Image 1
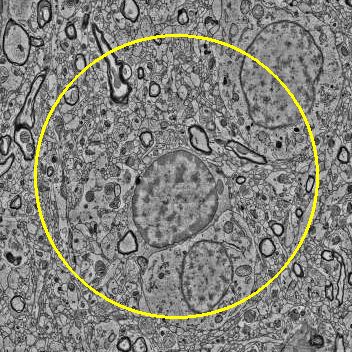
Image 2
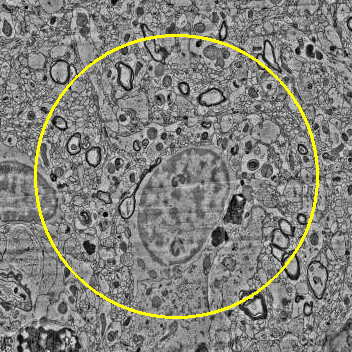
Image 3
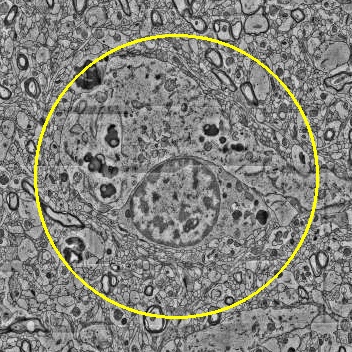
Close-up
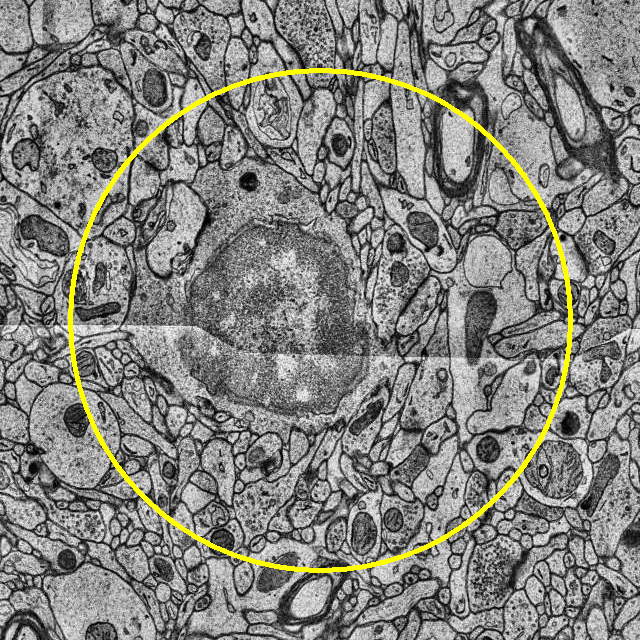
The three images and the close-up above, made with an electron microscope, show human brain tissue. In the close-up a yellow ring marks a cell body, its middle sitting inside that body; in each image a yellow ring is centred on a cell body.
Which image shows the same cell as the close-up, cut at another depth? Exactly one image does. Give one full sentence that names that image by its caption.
The cell enlarged for the close-up is ringed in Image 3.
